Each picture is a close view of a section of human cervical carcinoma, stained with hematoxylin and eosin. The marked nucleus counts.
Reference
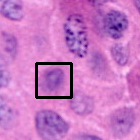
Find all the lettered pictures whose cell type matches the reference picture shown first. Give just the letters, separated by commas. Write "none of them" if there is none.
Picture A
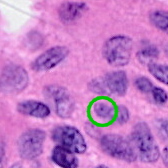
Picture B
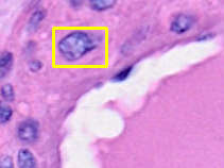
A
